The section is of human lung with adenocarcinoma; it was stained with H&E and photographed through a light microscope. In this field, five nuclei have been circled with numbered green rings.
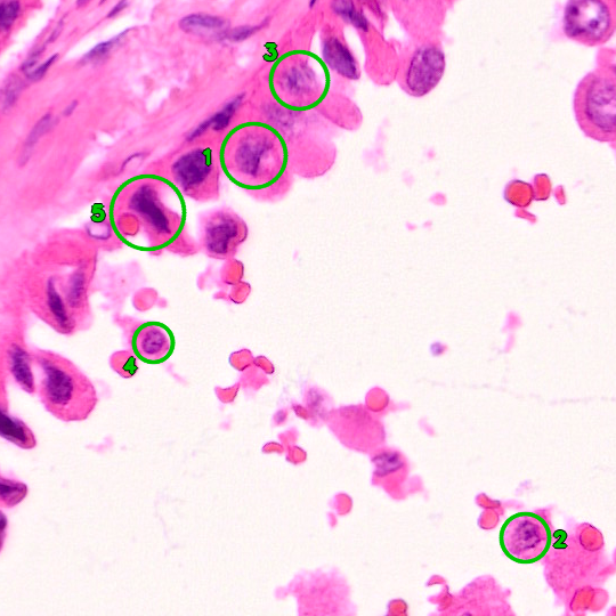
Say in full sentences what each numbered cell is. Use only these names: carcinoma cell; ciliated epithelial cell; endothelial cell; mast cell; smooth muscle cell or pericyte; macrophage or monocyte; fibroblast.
Cell 1 is a carcinoma cell, cell 2 is a macrophage or monocyte, cell 3 is a carcinoma cell, cell 4 is a macrophage or monocyte and cell 5 is a carcinoma cell.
